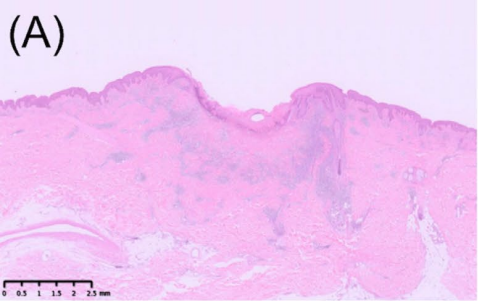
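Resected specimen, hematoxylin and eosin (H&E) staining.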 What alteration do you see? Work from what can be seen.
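Purple-blue cellular zones lie in the dermis beneath the surface. The infiltrate forms bands and patches reaching deep into the dermis. That points to this answer: band‐like and nodular infiltration of inflammatory cells.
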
